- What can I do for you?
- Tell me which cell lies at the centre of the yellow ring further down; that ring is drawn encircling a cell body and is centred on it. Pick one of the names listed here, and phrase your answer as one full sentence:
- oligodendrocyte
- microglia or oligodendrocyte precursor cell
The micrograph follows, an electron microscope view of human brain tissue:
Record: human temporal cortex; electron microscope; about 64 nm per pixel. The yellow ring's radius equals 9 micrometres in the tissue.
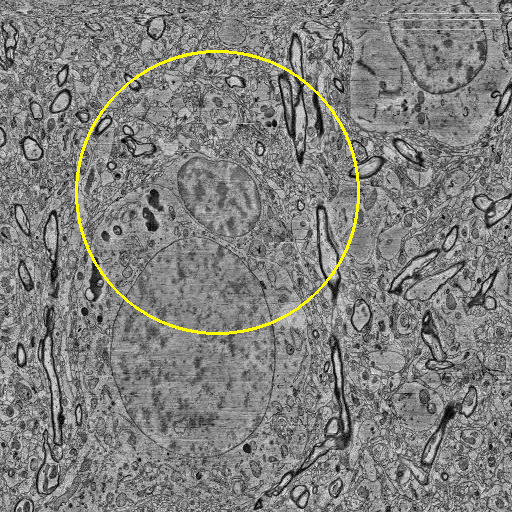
The cell whose body lies at the centre of the yellow ring is an oligodendrocyte.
